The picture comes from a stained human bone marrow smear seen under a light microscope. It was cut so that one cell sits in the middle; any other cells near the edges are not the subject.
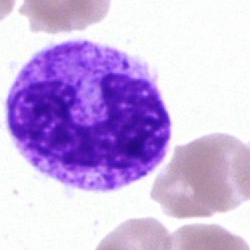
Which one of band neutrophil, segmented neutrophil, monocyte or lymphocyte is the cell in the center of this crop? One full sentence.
Looking at the middle of the crop, the cell there is a band neutrophil.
